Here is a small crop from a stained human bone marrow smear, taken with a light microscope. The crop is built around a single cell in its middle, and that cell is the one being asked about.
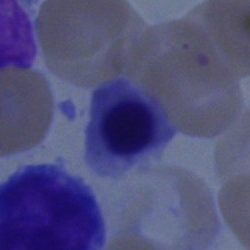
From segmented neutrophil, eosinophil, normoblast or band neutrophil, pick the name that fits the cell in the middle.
normoblast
